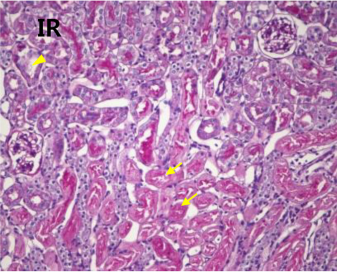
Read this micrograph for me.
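This is kidney cortex with tubules and glomeruli, stained lilac and magenta with blue-purple nuclei. Many tubule lumens are filled with bright magenta material that forms elongated plugs. Epithelial cells around these plugs are indistinct and flattened in places. Some tubules are widened, with thin linings lacking a clear magenta edge at the lumen. Glomeruli appear as round tufts of nuclei surrounded by a pale space.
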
